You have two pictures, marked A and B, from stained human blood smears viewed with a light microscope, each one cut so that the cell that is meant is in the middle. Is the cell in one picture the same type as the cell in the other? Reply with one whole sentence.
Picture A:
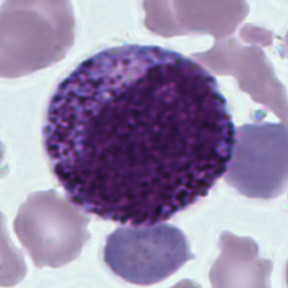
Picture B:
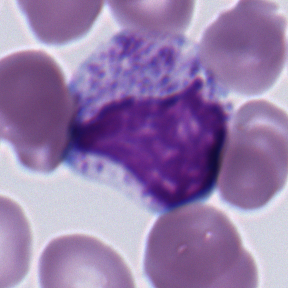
No, they differ: the cell is a promyelocyte in picture A and a myelocyte in picture B.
